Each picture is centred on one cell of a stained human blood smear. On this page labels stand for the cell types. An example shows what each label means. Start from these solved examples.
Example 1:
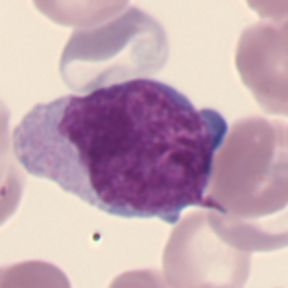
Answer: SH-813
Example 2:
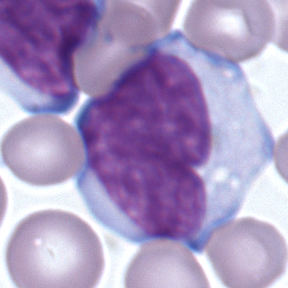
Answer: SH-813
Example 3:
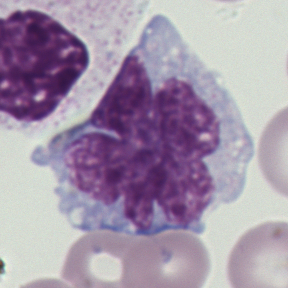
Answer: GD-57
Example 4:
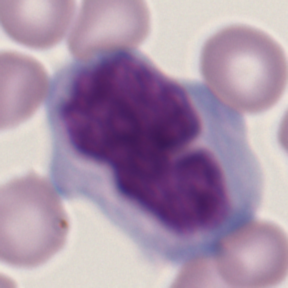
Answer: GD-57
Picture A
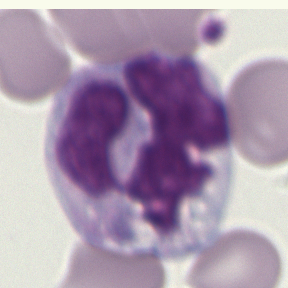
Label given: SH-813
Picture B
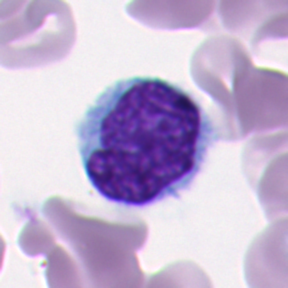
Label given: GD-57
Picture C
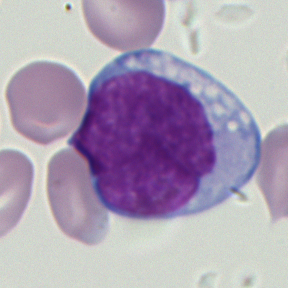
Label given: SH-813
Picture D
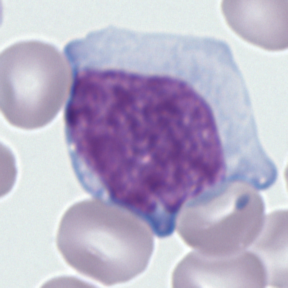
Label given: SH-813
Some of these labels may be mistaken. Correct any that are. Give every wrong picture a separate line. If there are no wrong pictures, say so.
Wrong: A (SH-813); correct: GD-57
